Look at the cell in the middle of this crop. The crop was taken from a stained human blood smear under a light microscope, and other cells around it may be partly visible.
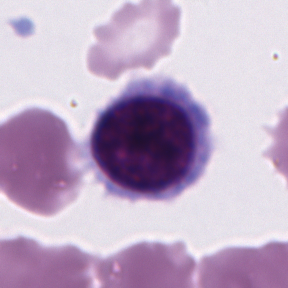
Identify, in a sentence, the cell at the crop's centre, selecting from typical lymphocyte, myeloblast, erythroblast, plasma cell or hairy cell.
The centrally placed cell is classified as a hairy cell.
